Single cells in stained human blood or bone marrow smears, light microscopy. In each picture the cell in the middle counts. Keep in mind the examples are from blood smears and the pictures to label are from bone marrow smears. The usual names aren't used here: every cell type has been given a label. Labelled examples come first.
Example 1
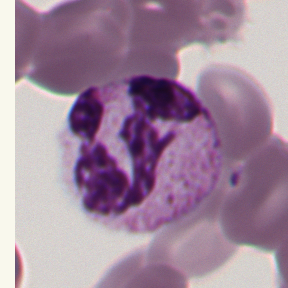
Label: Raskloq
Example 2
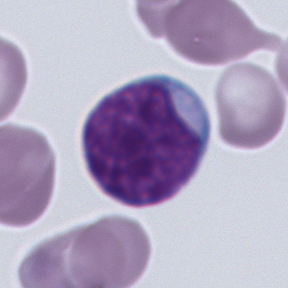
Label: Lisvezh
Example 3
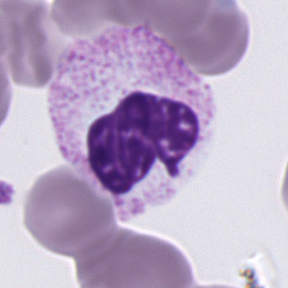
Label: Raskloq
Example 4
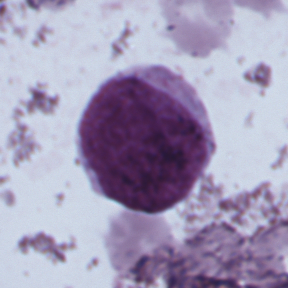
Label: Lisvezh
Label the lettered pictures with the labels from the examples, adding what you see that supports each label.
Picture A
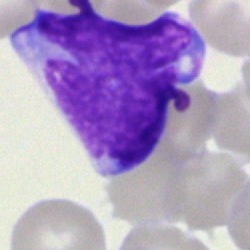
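Lisvezh. The chromatin is finely stippled rather than coarsely clumped.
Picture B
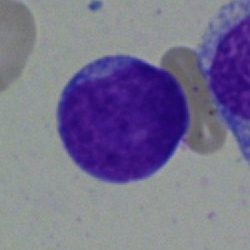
Lisvezh. The cytoplasm is a scant rim that is widest at the upper left.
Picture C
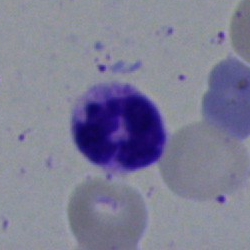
Raskloq. The chromatin is dark and coarsely clumped.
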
